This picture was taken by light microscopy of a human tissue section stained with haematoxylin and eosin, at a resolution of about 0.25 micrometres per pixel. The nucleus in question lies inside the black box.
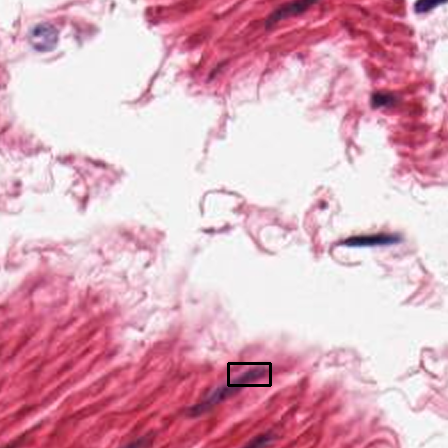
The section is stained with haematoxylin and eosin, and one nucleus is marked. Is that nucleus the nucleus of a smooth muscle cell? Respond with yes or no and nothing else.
yes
